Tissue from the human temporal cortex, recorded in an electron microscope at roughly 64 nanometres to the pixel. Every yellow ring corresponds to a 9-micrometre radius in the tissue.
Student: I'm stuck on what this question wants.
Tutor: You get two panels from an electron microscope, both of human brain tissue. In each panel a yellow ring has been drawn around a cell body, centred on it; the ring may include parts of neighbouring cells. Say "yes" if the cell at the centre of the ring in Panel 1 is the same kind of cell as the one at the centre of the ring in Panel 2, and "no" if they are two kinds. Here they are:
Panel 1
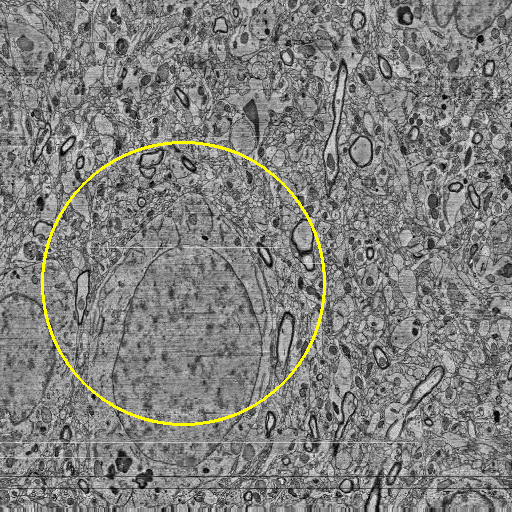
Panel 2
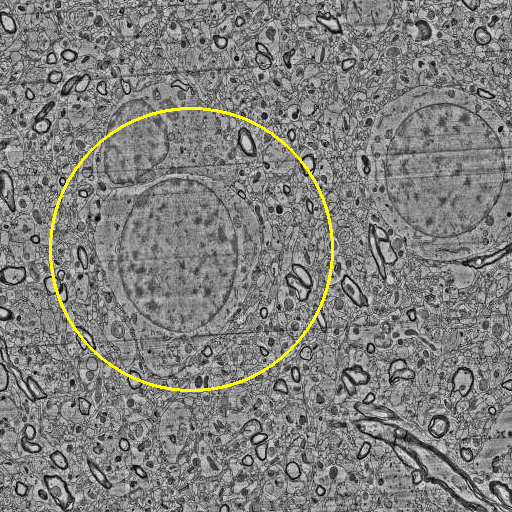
no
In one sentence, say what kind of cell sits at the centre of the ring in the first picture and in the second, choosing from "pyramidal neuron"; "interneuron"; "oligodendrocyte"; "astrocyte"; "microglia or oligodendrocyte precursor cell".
The first picture's ringed cell is a pyramidal neuron, while the second picture's is an interneuron.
